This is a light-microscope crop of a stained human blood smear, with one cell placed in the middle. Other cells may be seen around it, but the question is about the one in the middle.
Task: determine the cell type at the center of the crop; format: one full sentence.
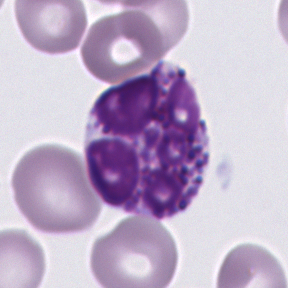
Located at the centre of the crop is a basophil.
